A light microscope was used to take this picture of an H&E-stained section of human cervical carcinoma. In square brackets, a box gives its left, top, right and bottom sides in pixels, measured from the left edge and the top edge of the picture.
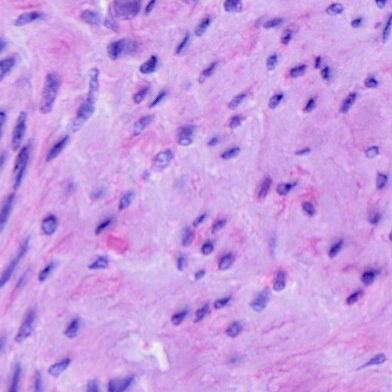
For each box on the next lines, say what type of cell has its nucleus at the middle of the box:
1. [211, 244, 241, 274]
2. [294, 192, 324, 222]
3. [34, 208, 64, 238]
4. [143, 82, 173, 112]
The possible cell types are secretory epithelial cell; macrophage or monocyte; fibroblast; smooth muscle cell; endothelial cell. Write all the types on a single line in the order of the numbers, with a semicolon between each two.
smooth muscle cell; smooth muscle cell; smooth muscle cell; fibroblast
